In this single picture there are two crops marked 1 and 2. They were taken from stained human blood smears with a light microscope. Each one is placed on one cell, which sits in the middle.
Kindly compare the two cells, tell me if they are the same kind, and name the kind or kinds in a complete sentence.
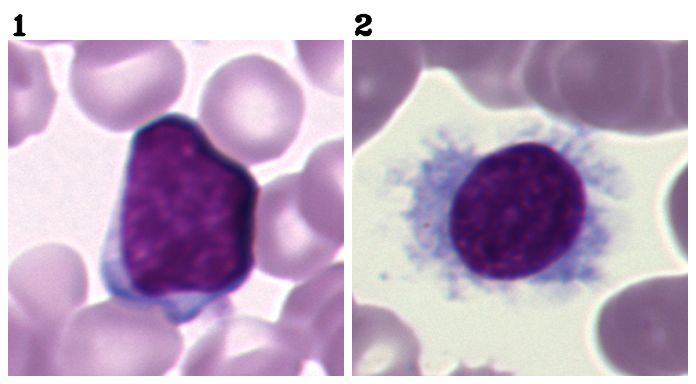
No, a typical lymphocyte is depicted by crop 1, a hairy cell by crop 2.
